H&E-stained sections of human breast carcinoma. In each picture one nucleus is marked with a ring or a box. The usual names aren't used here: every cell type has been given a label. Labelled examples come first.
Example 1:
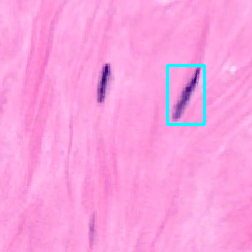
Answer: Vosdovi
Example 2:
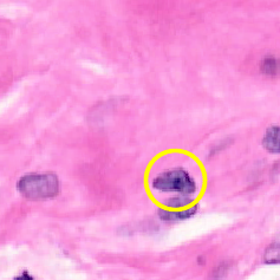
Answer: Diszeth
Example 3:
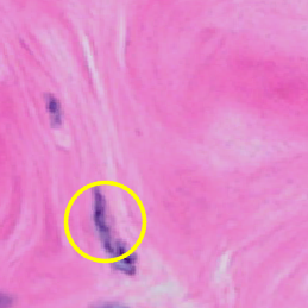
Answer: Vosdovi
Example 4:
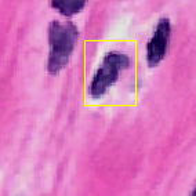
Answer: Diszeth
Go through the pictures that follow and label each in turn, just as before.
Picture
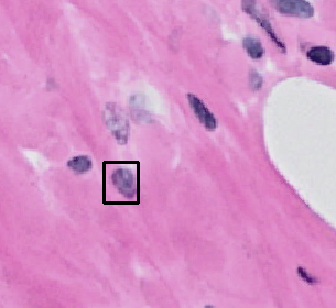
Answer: Diszeth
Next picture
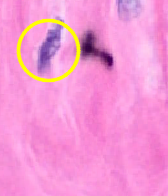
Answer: Vosdovi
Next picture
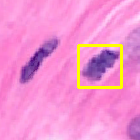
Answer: Diszeth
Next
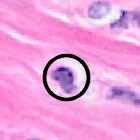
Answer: Diszeth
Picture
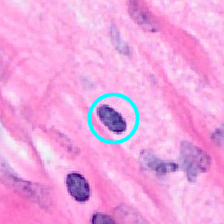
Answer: Diszeth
